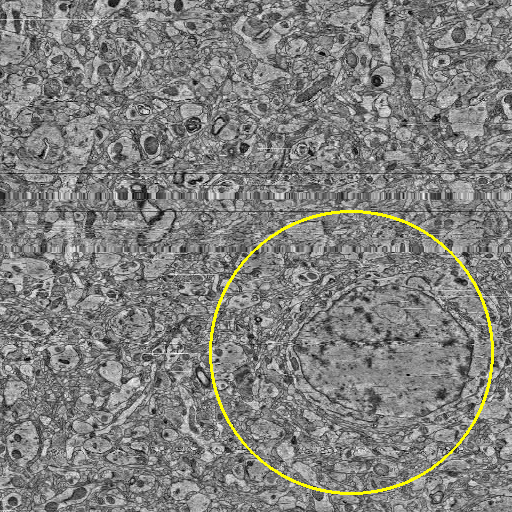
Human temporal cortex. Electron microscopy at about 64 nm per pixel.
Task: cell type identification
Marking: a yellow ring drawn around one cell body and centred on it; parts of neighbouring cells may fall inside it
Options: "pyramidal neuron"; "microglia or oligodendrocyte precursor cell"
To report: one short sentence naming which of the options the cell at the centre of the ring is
The cell at the centre of the ring is a pyramidal neuron.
